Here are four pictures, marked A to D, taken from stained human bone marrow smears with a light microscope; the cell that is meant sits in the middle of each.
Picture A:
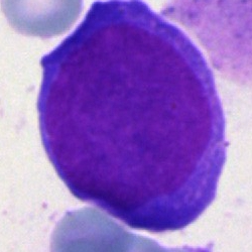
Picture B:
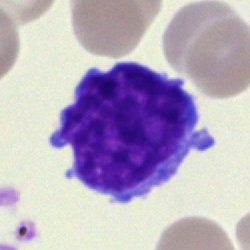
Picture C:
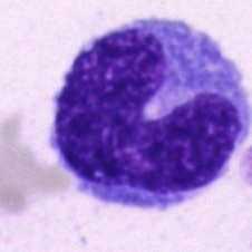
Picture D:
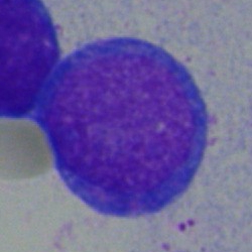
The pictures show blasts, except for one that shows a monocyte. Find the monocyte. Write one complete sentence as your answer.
Picture C is the one that shows the monocyte.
